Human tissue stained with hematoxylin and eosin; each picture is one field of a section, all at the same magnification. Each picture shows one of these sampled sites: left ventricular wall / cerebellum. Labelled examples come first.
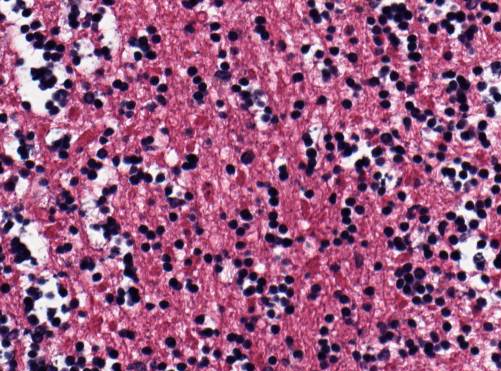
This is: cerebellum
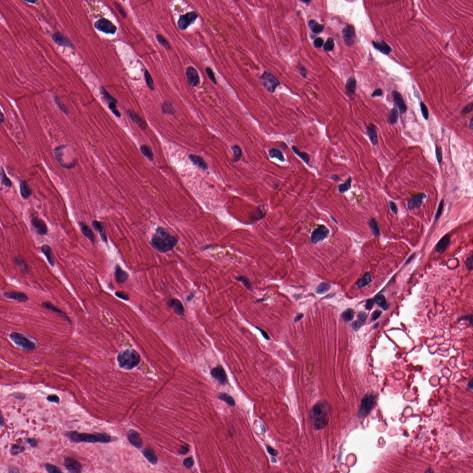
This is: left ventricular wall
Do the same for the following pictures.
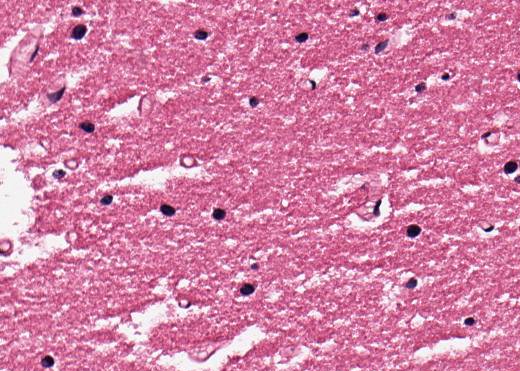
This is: cerebellum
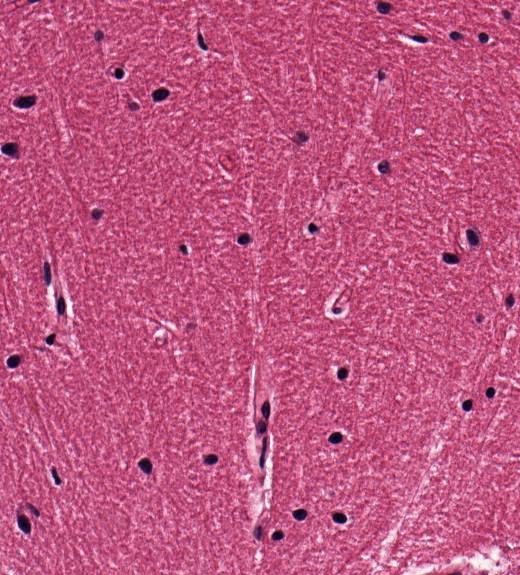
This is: cerebellum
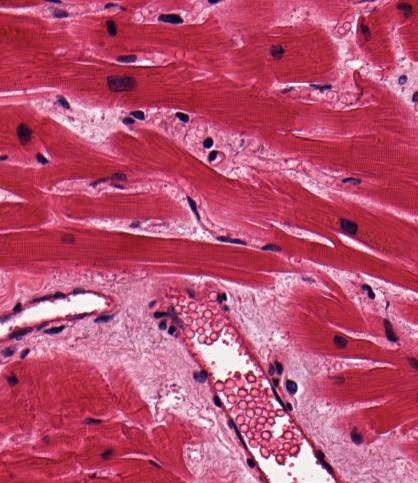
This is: left ventricular wall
